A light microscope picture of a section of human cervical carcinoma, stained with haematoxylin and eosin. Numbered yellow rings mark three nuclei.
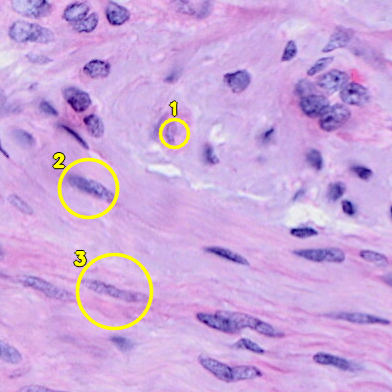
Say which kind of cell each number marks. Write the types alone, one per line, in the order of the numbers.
endothelial cell
fibroblast
smooth muscle cell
